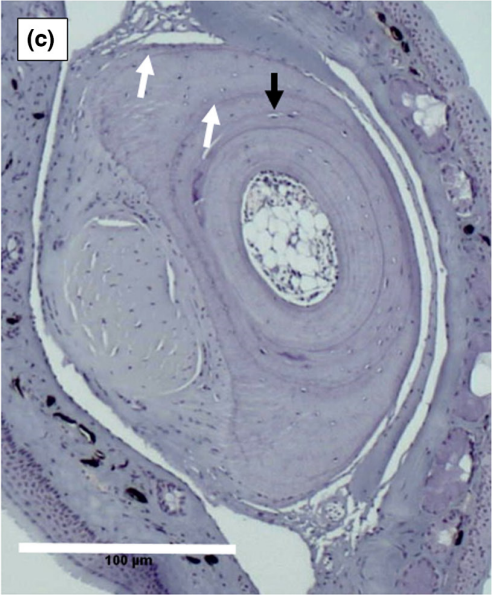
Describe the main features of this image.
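The marrow cavity is filled with pale, rounded, empty-looking fat cells among a few small dark nuclei. The bone around the cavity is laid down in many thin concentric layers, and a distinct line sets off this inner layered bone from the outer bone, which is itself crossed by fainter lines running parallel to the surface. Beside the bone lies a paler rounded tissue with scattered cells, and the whole is wrapped in thin soft tissue.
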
